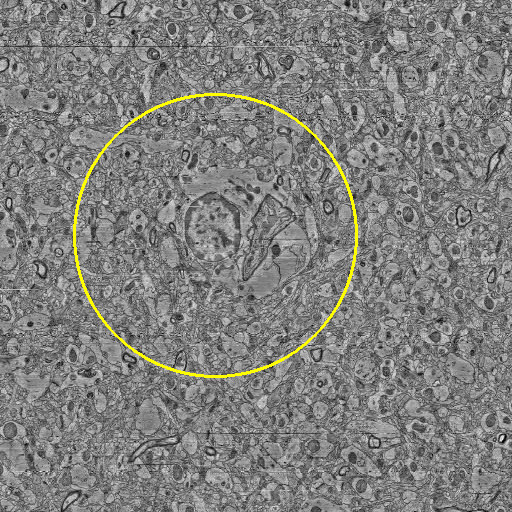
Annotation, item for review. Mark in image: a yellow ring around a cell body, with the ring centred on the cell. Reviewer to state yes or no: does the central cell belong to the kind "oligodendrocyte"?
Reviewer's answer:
no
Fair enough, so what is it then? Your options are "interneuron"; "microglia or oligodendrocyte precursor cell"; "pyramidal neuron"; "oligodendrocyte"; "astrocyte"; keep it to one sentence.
Instead, what sits at the centre of the ring is a microglial cell or oligodendrocyte precursor cell.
